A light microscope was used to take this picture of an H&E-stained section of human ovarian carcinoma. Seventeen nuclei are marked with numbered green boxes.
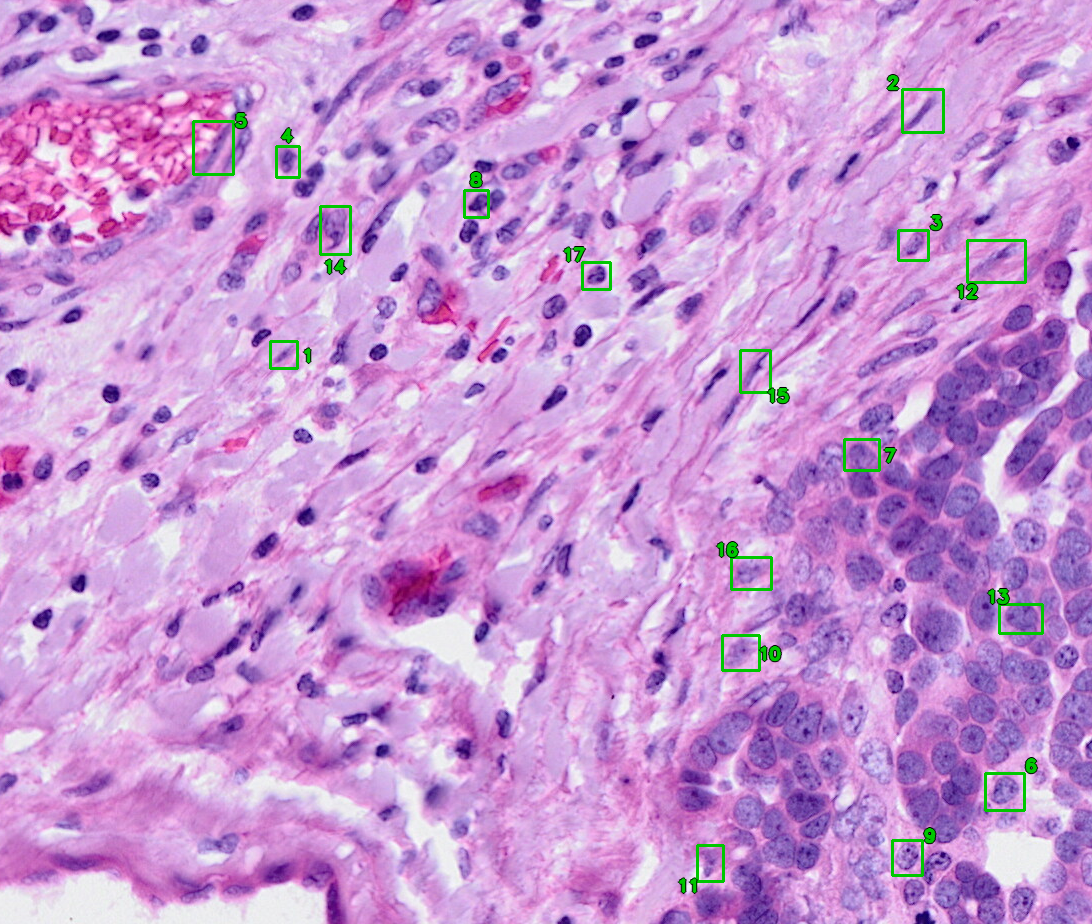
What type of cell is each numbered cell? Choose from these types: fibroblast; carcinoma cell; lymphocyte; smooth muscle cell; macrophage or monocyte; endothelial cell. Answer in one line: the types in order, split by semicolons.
fibroblast; fibroblast; fibroblast; lymphocyte; endothelial cell; macrophage or monocyte; carcinoma cell; lymphocyte; macrophage or monocyte; fibroblast; fibroblast; fibroblast; carcinoma cell; endothelial cell; fibroblast; fibroblast; lymphocyte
